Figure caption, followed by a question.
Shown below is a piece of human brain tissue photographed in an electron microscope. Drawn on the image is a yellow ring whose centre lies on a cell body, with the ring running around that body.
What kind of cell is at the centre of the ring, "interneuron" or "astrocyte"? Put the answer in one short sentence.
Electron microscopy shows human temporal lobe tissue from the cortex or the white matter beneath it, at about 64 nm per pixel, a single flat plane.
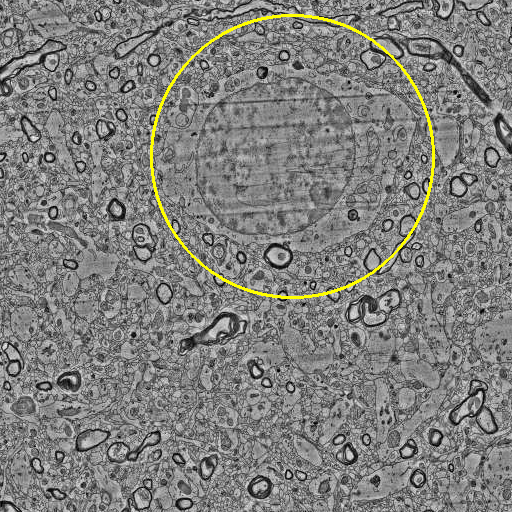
The ring marks the cell body of an interneuron.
